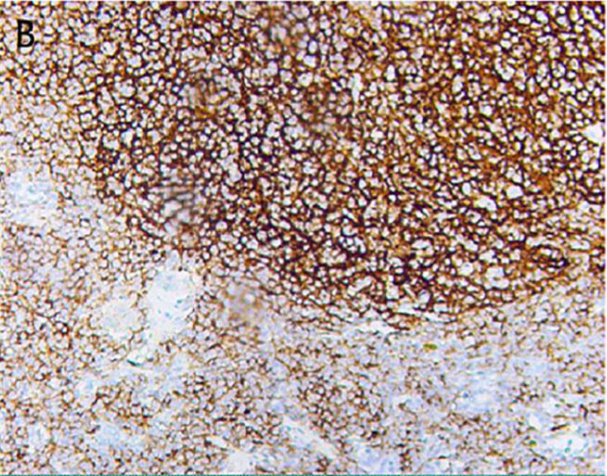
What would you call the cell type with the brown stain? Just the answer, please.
Lymphocytes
